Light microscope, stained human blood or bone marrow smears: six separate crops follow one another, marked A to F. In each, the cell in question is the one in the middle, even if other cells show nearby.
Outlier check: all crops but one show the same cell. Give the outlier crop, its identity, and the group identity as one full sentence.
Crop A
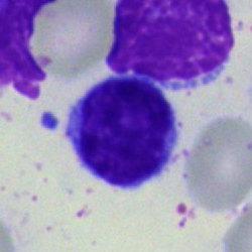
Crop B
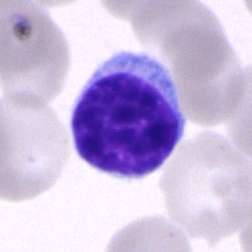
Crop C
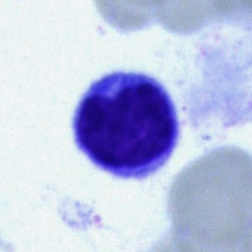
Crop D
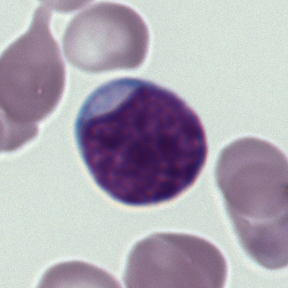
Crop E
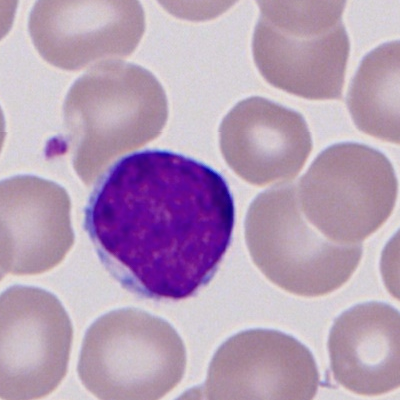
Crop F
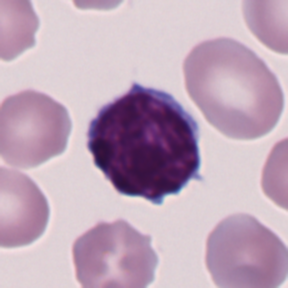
Crop D is a blast, and the other crops all show lymphocytes.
